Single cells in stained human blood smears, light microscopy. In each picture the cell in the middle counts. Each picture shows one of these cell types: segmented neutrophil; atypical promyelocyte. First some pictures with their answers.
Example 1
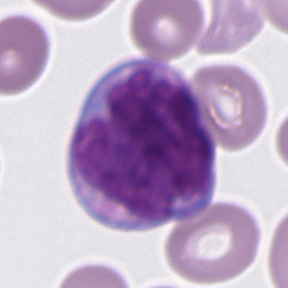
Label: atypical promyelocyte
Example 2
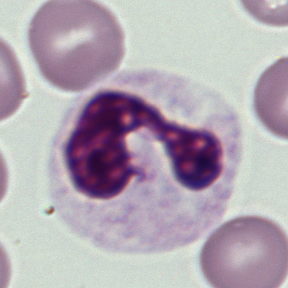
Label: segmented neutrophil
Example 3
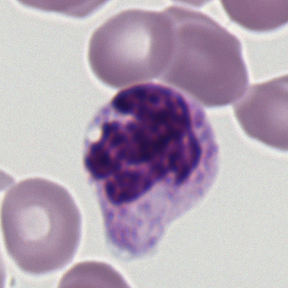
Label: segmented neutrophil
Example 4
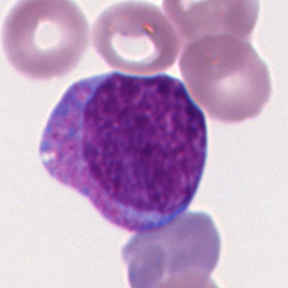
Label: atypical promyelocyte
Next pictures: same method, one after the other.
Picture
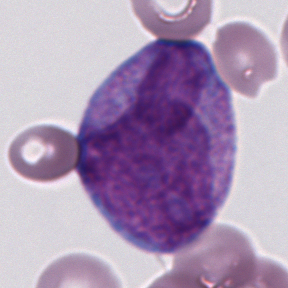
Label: atypical promyelocyte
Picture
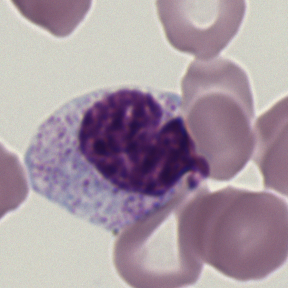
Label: segmented neutrophil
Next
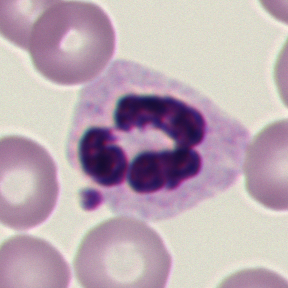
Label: segmented neutrophil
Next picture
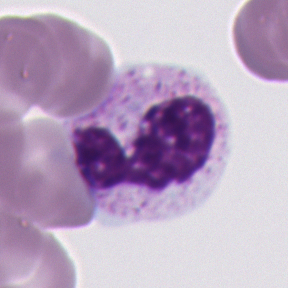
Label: segmented neutrophil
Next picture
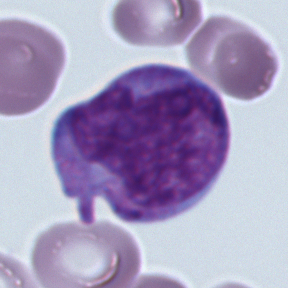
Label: atypical promyelocyte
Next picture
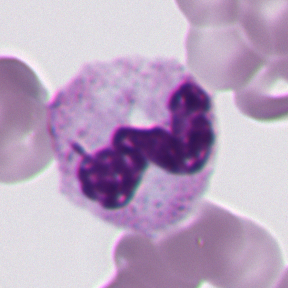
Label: segmented neutrophil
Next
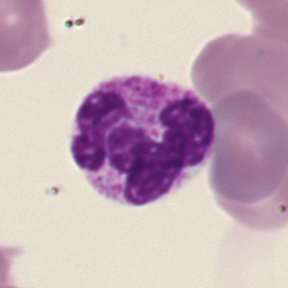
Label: segmented neutrophil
